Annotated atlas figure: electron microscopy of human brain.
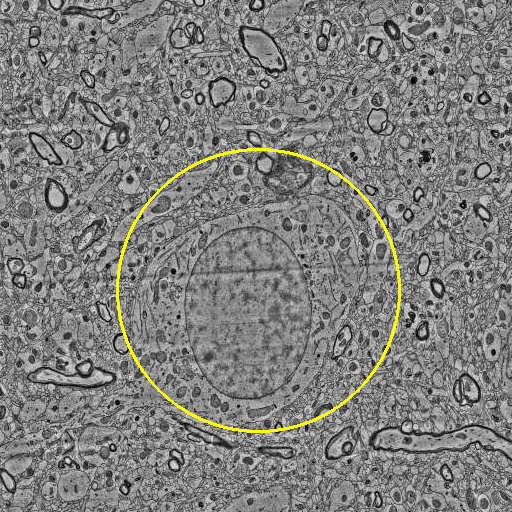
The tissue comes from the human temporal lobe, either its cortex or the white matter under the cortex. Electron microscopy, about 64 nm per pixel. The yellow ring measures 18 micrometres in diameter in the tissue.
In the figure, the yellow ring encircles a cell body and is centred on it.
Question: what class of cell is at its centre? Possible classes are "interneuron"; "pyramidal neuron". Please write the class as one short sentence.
The yellow ring is drawn around an interneuron.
